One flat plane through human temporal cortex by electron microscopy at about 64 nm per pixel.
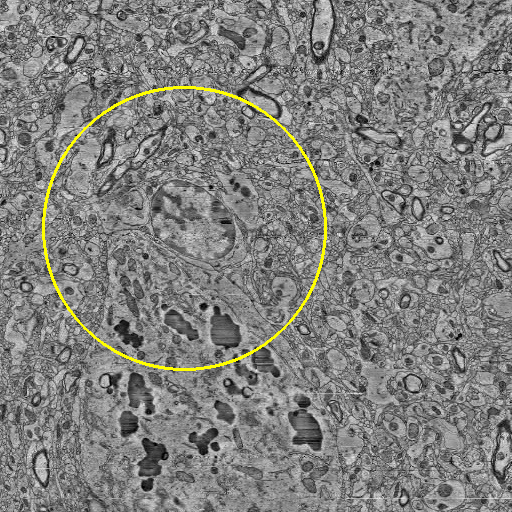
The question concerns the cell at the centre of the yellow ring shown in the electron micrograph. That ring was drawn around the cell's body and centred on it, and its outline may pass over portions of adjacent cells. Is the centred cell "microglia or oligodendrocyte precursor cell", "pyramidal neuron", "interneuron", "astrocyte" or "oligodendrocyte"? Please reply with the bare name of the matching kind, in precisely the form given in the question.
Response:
microglia or oligodendrocyte precursor cell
